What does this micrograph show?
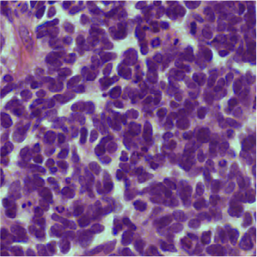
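The nuclei are round to oval, crowded, and often press against one another. The cells form solid sheets and nests broken up by narrow pale clefts of empty space. At the upper left a few thin pink strands of fibrous tissue run between the cell groups. There is no orderly layering of normal tissue here.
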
